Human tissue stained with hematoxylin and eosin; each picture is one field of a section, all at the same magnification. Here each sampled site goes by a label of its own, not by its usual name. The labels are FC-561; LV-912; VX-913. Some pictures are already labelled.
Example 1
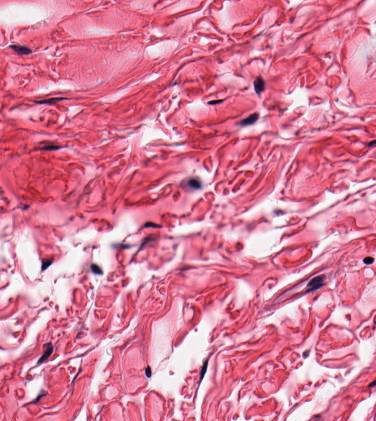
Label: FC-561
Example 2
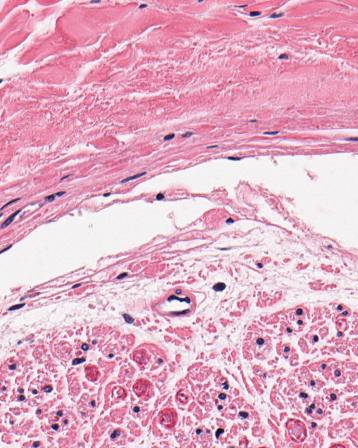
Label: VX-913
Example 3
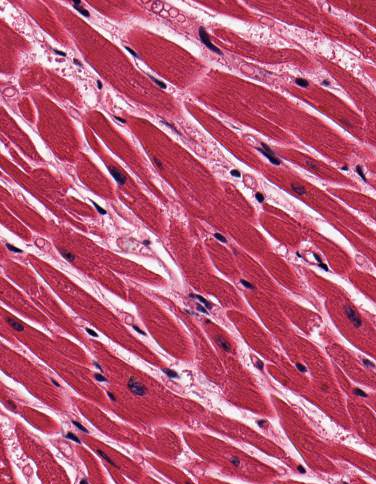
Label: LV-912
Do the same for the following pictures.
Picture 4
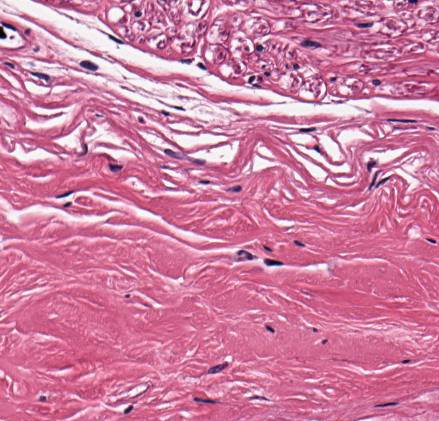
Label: VX-913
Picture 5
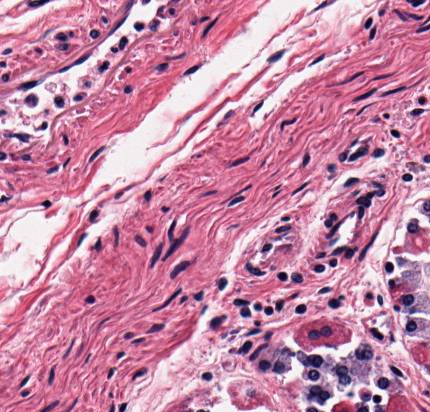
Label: FC-561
